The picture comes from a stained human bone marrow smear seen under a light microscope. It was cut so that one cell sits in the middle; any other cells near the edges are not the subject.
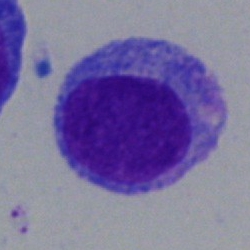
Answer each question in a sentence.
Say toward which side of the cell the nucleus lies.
Toward the lower left of the cell lies its nucleus.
